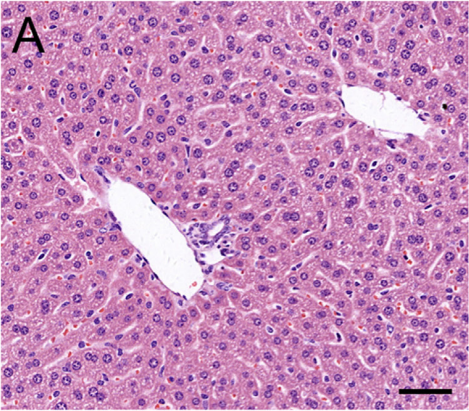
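This section shows liver tissue made of hepatocytes arranged in cords that radiate among thin sinusoidal spaces. The hepatocytes are polygonal with pink granular cytoplasm and round, centrally placed nuclei with visible nucleoli; a few cells appear to have two nuclei. Narrow sinusoids between the cords are lined by flat cells with small dark elongated nuclei and contain few red blood cells. Two thin-walled vessels with empty lumens lie in the field, one with a small group of cells at its edge. No inflammatory clusters, congestion or cell loss are seen.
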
